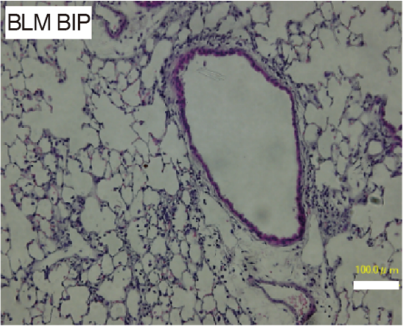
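This is lung tissue with a largely preserved lacy pattern of alveoli, whose thin pink walls carry scattered small purple nuclei around open, clear air spaces. In the centre an oval lumen is bounded by a deeper purple-staining lining, surrounded by a loose pale band of connective tissue with a few cells.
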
